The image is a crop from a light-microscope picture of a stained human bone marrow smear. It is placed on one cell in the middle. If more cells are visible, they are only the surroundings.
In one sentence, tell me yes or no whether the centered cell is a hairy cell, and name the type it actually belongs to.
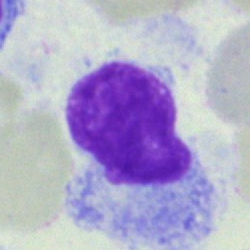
Yes, the cell at the midpoint of the crop is a hairy cell.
